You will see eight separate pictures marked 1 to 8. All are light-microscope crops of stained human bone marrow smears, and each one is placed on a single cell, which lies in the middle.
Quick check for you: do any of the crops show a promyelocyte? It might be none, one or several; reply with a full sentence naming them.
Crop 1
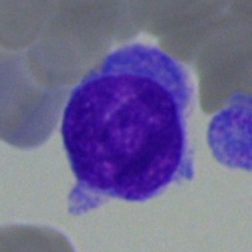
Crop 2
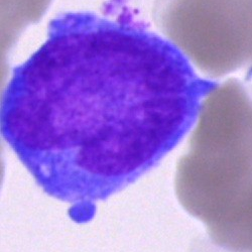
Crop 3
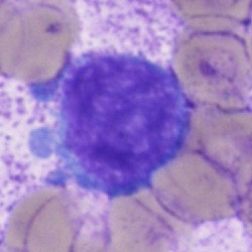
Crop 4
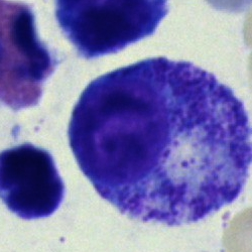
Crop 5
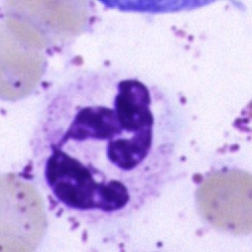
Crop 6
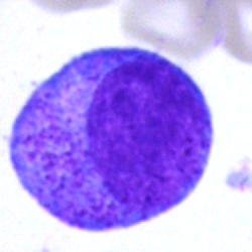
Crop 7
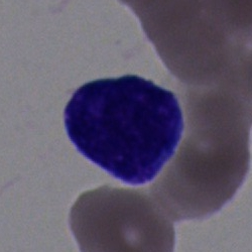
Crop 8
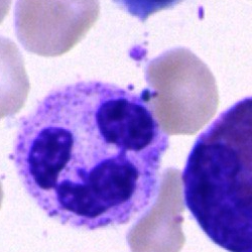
The cells of interest in crops 4 and 6 are promyelocytes.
